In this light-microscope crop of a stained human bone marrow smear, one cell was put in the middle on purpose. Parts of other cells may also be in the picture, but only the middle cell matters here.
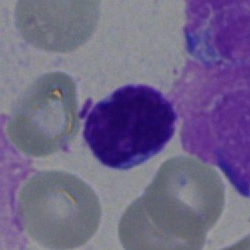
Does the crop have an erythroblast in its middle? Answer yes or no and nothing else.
no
